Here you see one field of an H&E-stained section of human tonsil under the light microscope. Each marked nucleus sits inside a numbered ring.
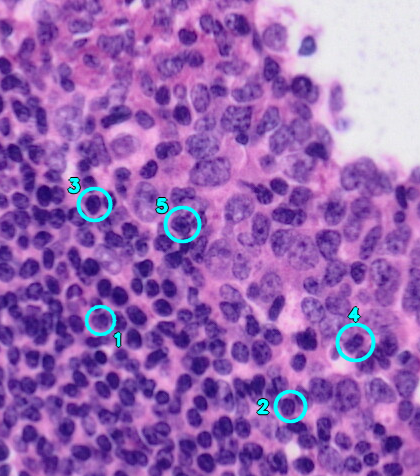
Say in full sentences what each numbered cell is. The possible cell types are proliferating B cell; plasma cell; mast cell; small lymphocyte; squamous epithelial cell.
Cells 1, 2 and 3 are small lymphocytes. Cells 4 and 5 are proliferating B cells.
